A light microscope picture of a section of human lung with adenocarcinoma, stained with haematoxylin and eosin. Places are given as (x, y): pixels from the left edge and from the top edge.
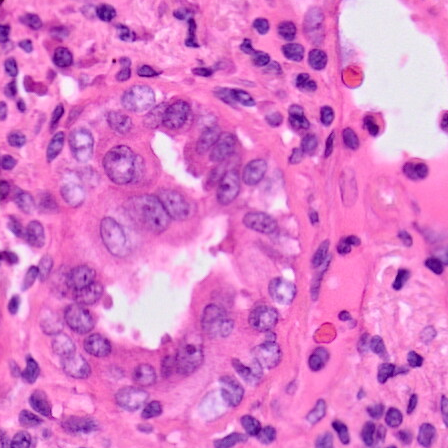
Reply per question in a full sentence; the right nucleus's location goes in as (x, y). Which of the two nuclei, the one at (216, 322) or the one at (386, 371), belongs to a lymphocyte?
That would be the nucleus at (386, 371); it belongs to a lymphocyte.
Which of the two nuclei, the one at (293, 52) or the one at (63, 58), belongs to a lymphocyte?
Of the two, the nucleus at (293, 52) is the one contained in a lymphocyte.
